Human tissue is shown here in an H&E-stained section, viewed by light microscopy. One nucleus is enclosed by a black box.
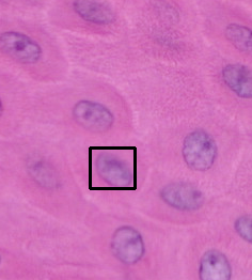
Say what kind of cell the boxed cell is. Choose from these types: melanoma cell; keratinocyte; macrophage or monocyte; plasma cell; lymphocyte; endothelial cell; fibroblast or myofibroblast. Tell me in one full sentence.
As far as its identity is concerned, the boxed cell is a keratinocyte.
